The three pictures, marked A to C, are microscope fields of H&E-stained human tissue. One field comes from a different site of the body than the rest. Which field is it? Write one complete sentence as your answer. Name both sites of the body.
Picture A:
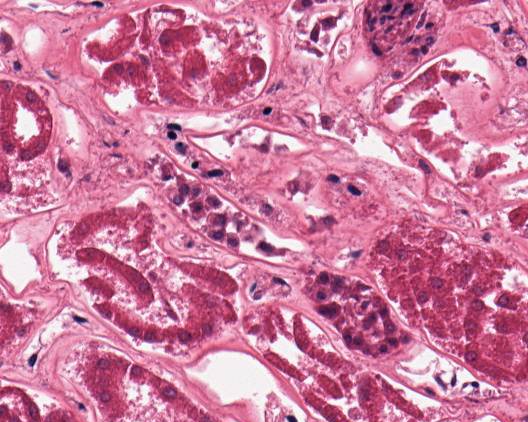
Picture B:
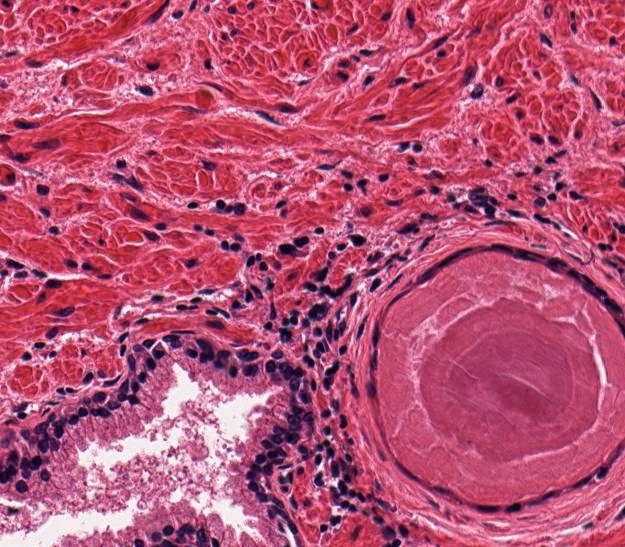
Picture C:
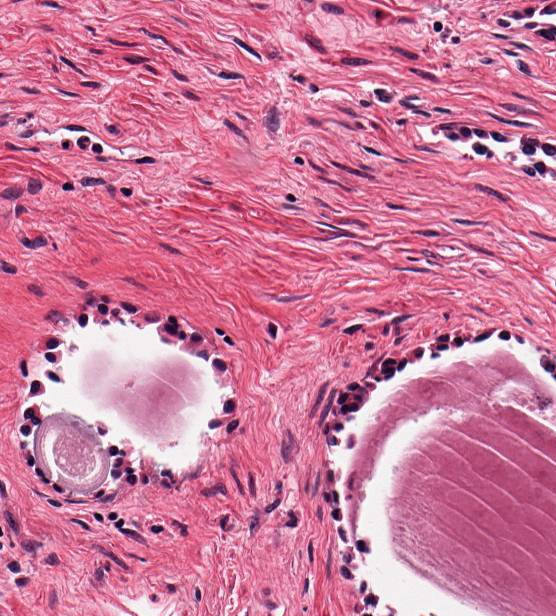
Picture A is the odd one out: it comes from the renal cortex, while the others come from the prostate.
